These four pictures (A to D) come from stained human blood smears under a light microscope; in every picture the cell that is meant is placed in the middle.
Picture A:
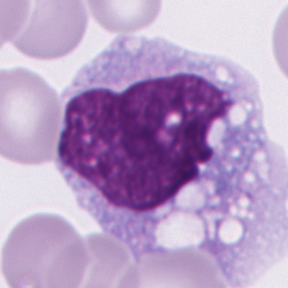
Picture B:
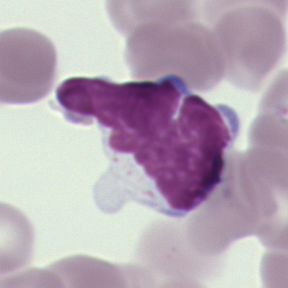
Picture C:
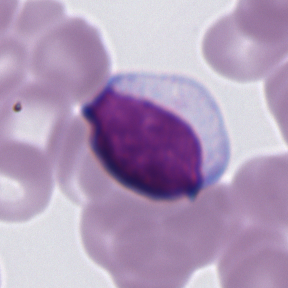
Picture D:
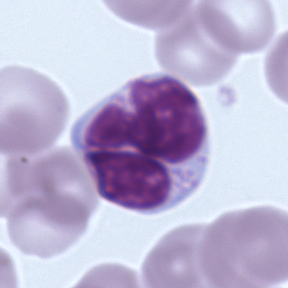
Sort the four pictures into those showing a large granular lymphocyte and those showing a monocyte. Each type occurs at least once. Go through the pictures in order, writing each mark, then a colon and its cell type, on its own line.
A: monocyte
B: large granular lymphocyte
C: large granular lymphocyte
D: large granular lymphocyte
